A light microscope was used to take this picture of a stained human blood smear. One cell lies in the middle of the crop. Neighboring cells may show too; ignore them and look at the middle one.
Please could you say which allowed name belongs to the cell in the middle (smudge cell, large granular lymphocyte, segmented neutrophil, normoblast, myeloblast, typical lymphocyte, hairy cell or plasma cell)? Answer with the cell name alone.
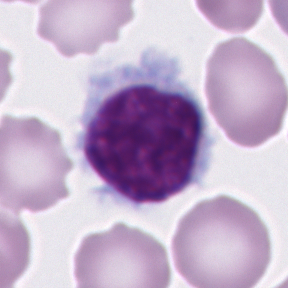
hairy cell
